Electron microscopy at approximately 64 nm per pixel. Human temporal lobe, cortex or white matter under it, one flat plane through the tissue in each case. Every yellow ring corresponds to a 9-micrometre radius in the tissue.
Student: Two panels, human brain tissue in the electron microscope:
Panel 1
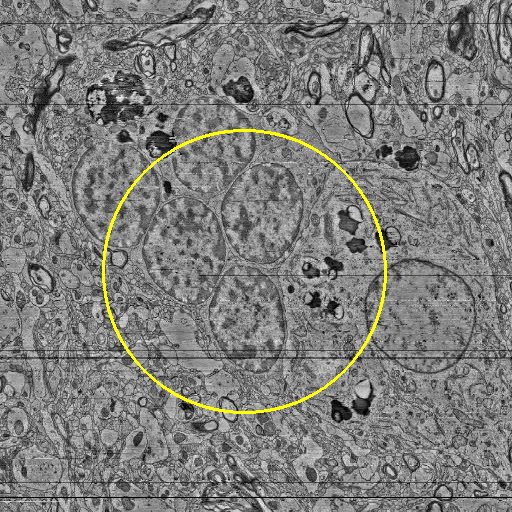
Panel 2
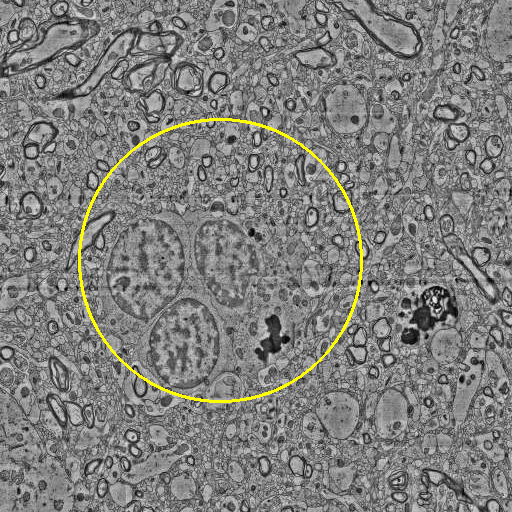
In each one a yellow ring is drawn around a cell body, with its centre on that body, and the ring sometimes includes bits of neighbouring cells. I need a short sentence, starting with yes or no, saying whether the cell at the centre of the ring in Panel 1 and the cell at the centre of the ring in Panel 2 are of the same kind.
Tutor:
Yes, they are the same kind of cell.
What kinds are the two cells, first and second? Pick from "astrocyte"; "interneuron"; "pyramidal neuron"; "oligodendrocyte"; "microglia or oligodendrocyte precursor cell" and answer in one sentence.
In both pictures the ring is centred on an oligodendrocyte.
